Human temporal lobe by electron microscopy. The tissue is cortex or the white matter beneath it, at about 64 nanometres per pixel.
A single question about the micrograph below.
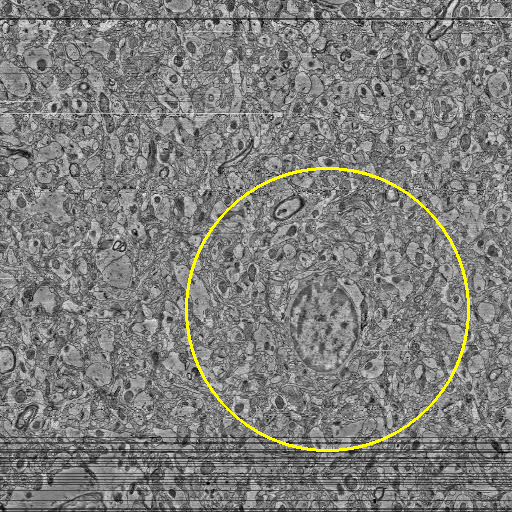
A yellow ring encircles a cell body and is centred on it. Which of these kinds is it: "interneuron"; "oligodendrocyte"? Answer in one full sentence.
The cell body at the centre of the yellow ring belongs to an oligodendrocyte.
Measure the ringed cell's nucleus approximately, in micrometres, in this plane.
In this plane, roughly 6 by 4 micrometres.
